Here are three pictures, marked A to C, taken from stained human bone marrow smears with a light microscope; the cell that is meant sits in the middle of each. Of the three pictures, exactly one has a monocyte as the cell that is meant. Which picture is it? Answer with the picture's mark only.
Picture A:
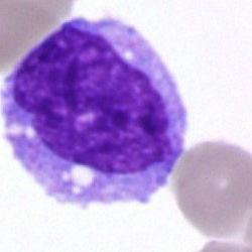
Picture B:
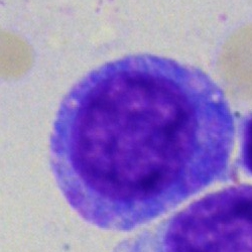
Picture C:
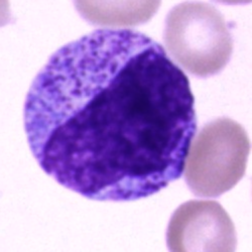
A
